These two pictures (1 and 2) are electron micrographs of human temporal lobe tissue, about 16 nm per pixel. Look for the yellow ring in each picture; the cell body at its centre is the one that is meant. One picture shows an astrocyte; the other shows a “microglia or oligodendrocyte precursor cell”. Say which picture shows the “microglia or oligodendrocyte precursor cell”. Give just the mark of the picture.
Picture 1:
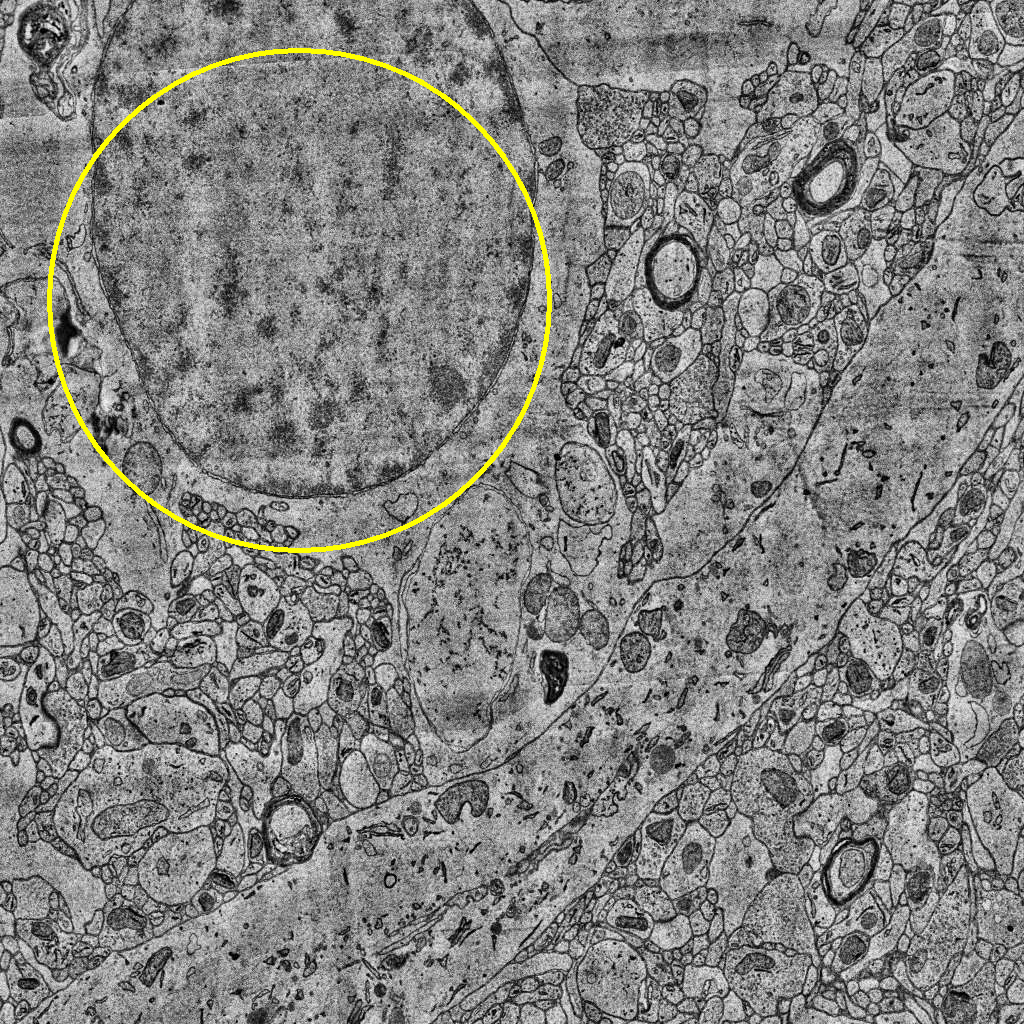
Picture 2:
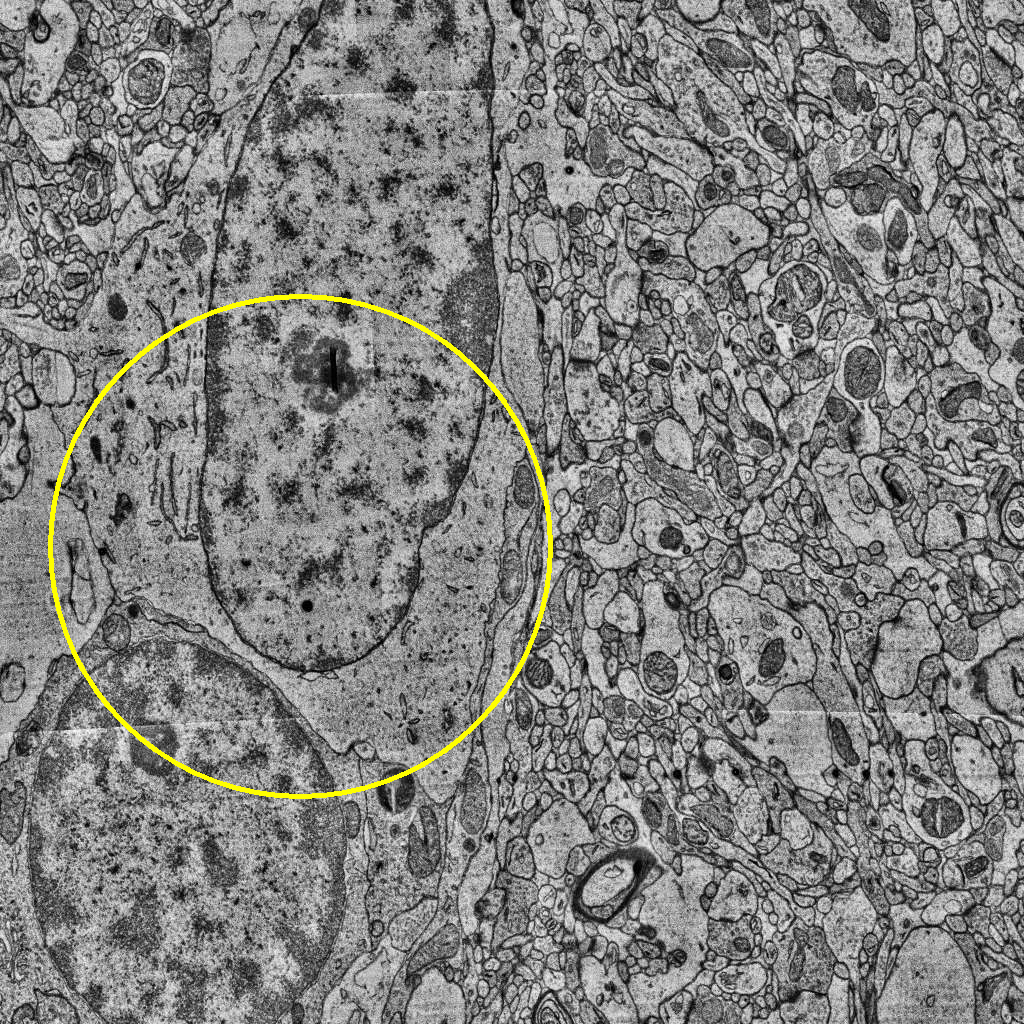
2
